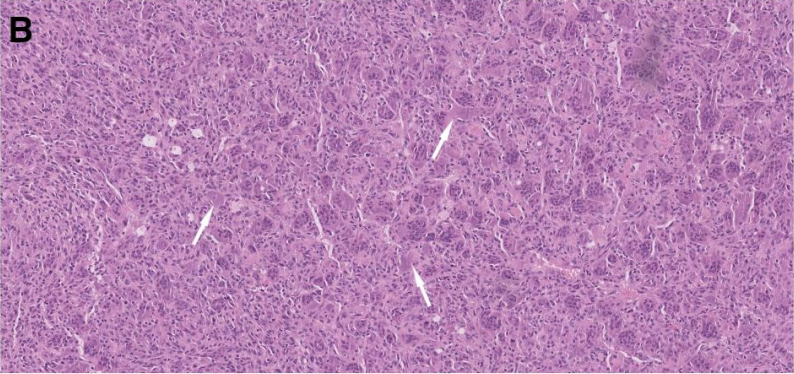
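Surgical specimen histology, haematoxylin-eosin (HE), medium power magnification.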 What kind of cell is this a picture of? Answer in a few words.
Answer: Uniformly arranged multinucleated giant cells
